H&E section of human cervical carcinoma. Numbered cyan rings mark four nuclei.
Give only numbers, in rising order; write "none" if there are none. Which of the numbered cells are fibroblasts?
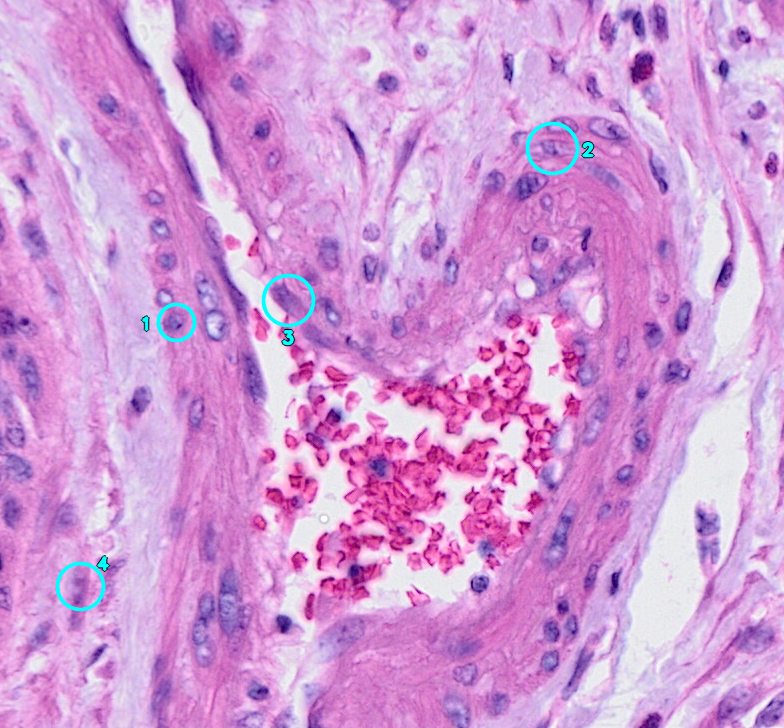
4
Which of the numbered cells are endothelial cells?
3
